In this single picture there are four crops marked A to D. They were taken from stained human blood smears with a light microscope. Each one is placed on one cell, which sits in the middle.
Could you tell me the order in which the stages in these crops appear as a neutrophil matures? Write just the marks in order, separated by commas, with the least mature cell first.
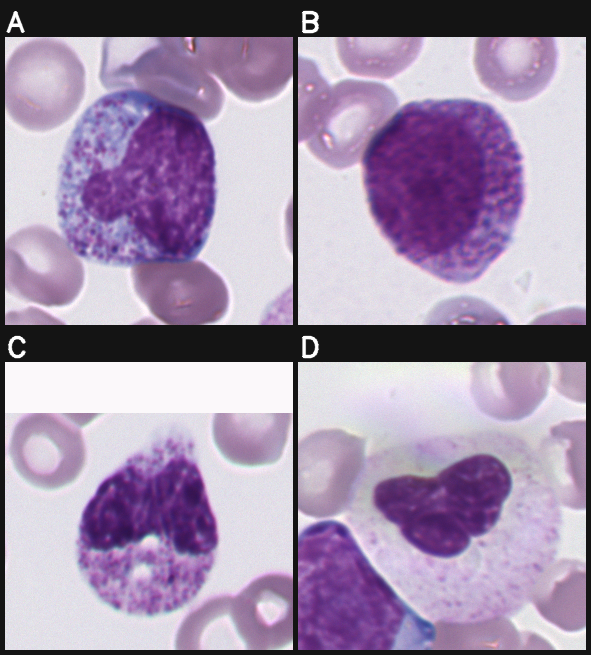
B, A, C, D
